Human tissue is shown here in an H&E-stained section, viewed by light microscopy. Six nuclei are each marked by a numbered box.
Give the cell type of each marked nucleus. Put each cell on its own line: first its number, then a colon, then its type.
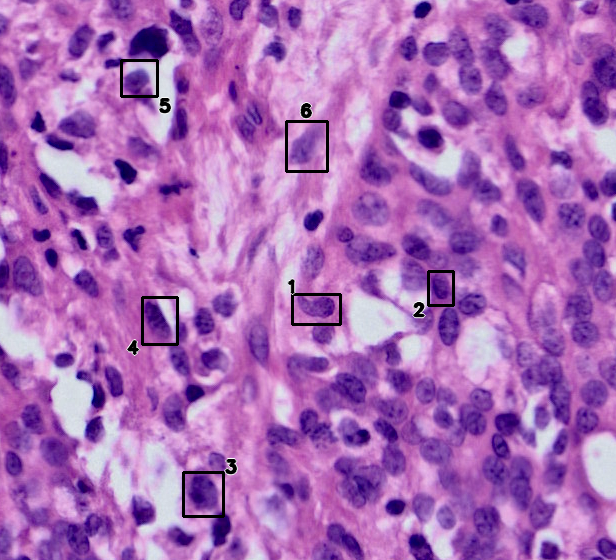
1: macrophage or monocyte
2: carcinoma cell
3: carcinoma cell
4: carcinoma cell
5: carcinoma cell
6: fibroblast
